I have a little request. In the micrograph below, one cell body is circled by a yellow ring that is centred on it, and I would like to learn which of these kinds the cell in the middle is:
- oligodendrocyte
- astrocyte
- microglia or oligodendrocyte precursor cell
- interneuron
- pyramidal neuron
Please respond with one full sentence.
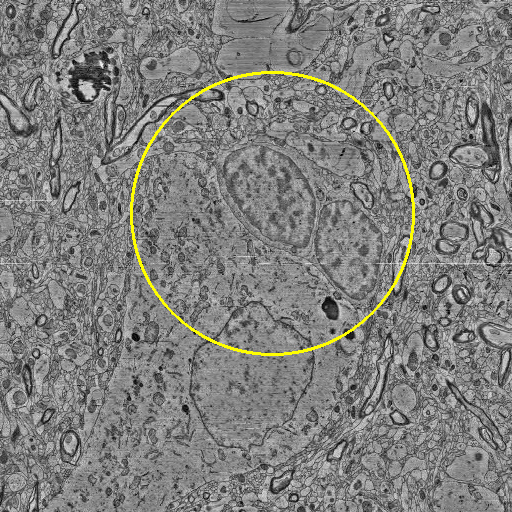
The cell sitting in the middle of the yellow ring in the micrograph is an oligodendrocyte.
